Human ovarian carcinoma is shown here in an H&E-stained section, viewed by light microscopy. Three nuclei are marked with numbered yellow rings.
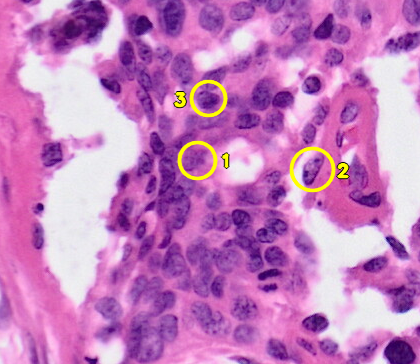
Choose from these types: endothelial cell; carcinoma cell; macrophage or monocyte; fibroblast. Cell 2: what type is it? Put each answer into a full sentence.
The marked nucleus 2 is that of a macrophage or monocyte.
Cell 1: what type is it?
The cell tagged with 1 in this tissue section is a carcinoma cell.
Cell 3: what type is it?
The cell given label 3 is a carcinoma cell.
